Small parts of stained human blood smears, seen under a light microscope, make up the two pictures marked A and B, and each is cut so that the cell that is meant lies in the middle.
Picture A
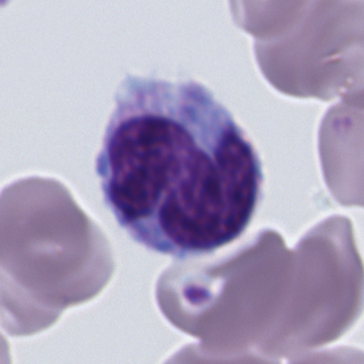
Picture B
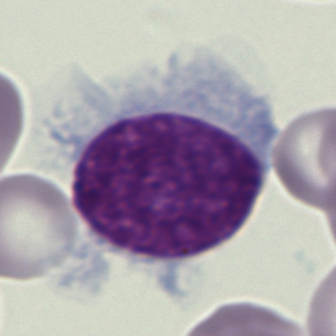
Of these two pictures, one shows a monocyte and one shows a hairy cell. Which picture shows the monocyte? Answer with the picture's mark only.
A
